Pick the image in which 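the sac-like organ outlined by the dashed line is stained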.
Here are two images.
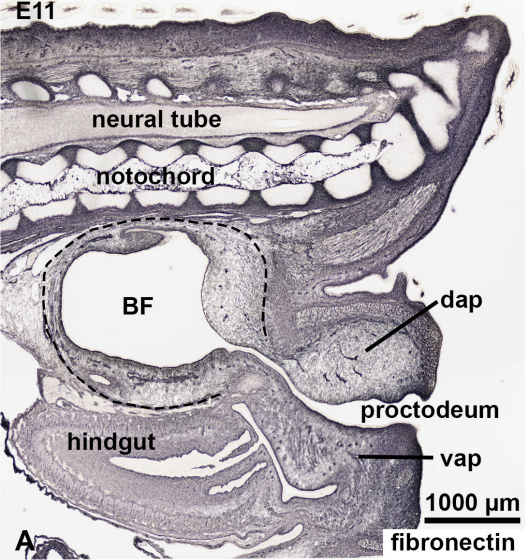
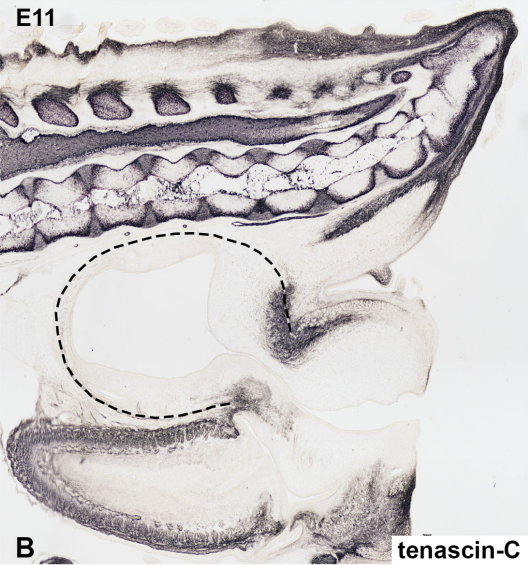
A: The first image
